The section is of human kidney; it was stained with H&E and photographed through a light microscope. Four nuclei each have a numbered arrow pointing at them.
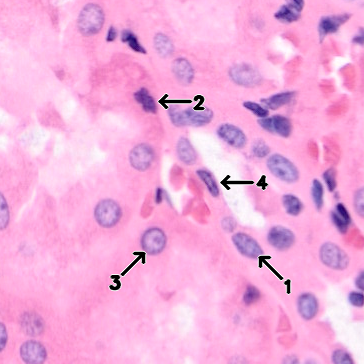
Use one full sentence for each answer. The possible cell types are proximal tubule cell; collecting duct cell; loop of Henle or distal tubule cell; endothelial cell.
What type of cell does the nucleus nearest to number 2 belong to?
The nearest nucleus to number 2 belongs to a collecting duct cell.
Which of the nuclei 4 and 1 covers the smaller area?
Nucleus 4 covers less area, with nucleus 1 about 2 times as large.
